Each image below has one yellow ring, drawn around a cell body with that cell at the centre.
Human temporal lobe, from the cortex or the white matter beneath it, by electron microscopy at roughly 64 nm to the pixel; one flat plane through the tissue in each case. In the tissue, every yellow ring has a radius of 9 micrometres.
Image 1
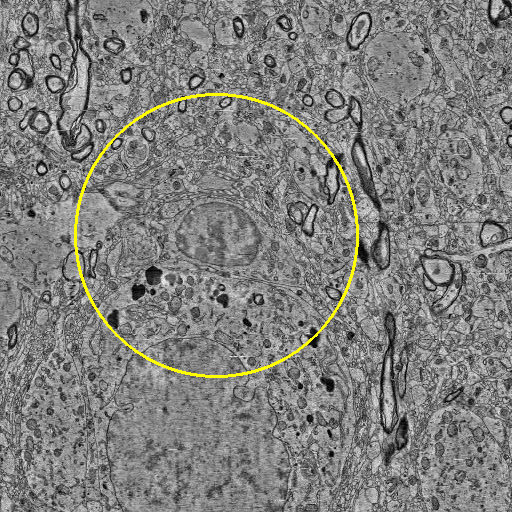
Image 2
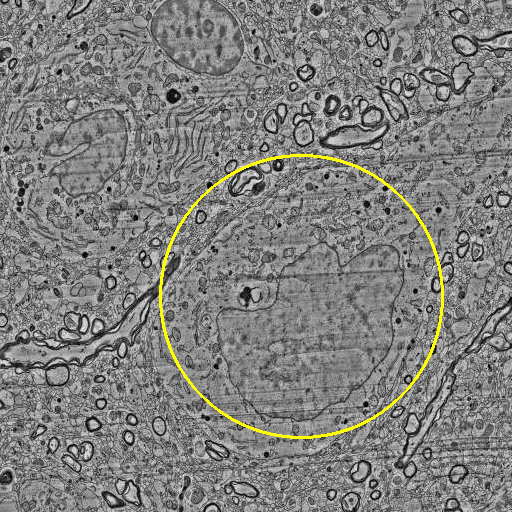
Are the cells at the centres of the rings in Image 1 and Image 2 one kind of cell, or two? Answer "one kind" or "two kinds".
two kinds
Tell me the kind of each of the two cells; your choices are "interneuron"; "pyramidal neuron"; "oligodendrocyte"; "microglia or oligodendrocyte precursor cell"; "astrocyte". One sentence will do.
The ringed cell is an oligodendrocyte in the first picture and a pyramidal neuron in the second picture.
